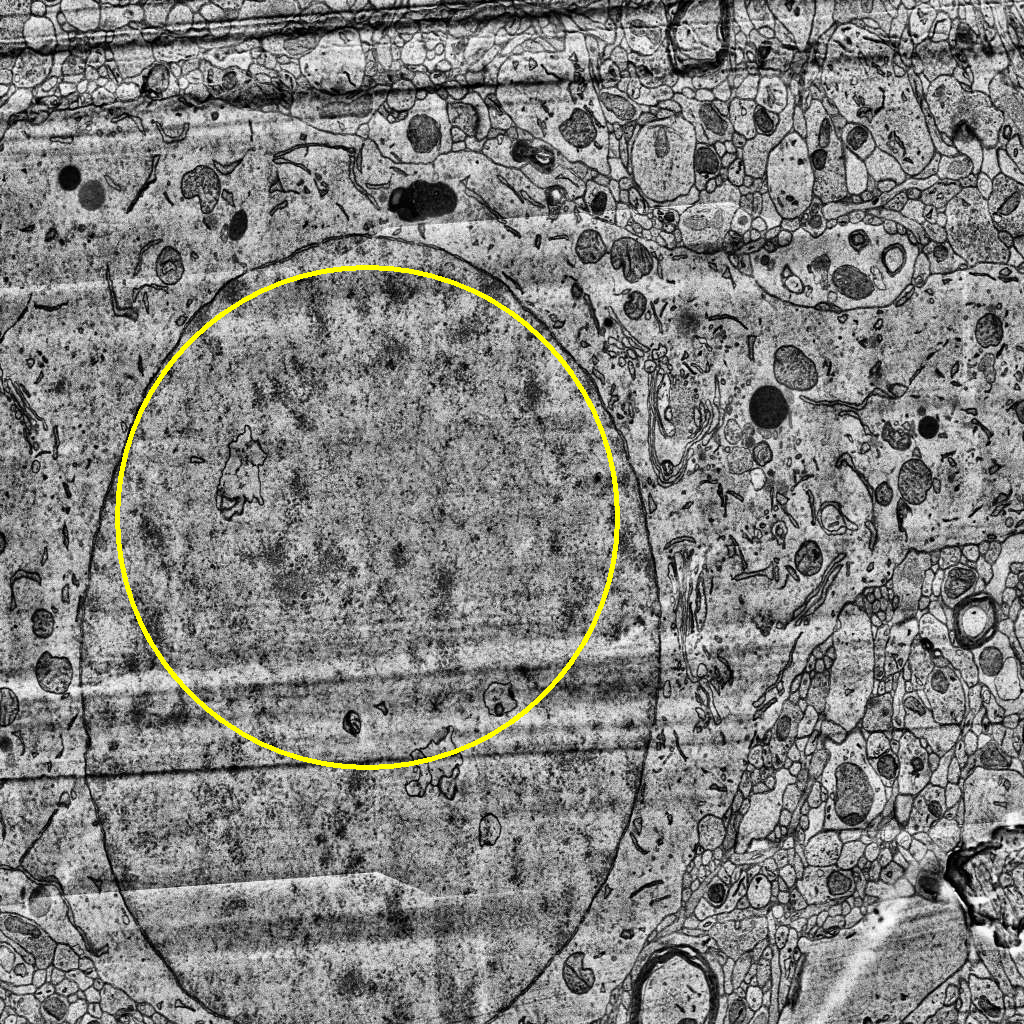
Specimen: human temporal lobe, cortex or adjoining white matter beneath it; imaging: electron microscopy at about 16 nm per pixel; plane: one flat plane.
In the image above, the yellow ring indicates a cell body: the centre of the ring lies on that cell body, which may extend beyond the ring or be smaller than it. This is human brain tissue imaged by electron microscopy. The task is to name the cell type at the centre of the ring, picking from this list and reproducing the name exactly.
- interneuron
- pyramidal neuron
pyramidal neuron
